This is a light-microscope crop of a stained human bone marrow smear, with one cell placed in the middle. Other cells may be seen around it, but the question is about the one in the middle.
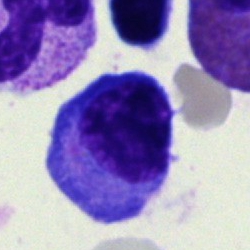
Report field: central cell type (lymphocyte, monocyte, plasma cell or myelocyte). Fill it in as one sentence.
The middle position in this crop is taken by a plasma cell.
